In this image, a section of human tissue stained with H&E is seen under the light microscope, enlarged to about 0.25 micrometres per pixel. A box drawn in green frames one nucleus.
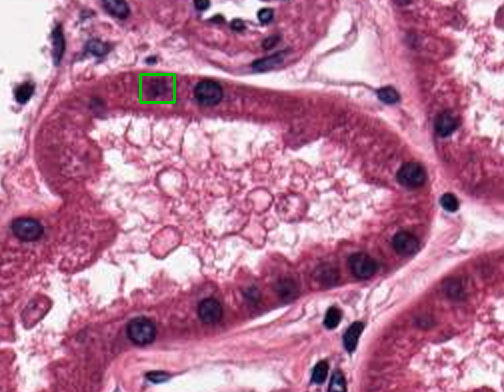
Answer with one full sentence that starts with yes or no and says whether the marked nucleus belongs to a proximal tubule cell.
Yes, the nucleus bearing the mark is that of a proximal tubule cell.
